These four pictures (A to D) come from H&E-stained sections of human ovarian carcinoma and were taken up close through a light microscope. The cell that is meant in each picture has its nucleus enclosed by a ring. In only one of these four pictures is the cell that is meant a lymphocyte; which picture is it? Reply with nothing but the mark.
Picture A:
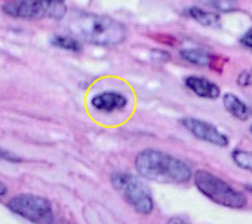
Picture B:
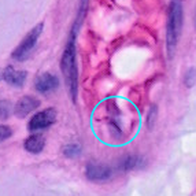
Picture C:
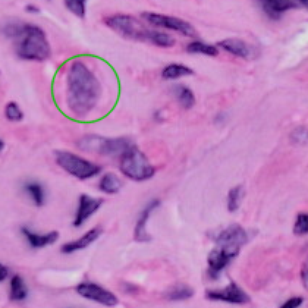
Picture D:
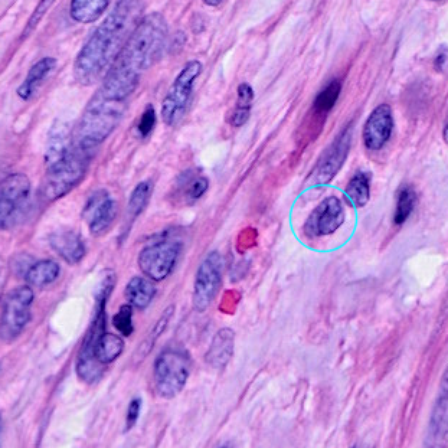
A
